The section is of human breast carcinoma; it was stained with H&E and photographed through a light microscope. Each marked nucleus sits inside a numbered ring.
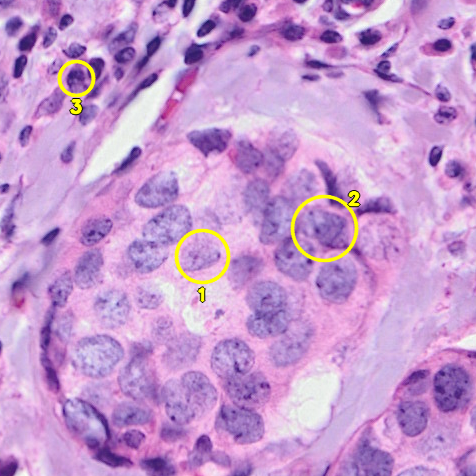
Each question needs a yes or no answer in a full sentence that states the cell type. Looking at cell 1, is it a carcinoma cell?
Yes, the numbered cell 1 is identified as a carcinoma cell.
